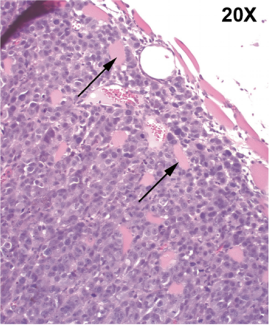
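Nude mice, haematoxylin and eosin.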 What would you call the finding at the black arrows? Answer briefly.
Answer: tumour cells invading skeletal muscle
